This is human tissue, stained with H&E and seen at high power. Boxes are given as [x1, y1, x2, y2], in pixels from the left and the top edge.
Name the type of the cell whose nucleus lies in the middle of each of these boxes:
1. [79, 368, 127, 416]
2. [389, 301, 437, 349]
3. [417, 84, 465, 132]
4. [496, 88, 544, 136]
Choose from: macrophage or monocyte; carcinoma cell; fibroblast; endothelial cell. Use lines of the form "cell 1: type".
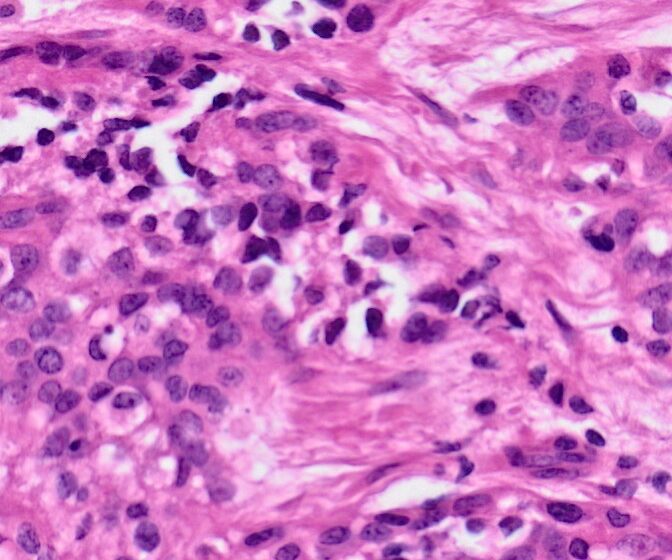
cell 1: carcinoma cell
cell 2: carcinoma cell
cell 3: fibroblast
cell 4: carcinoma cell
